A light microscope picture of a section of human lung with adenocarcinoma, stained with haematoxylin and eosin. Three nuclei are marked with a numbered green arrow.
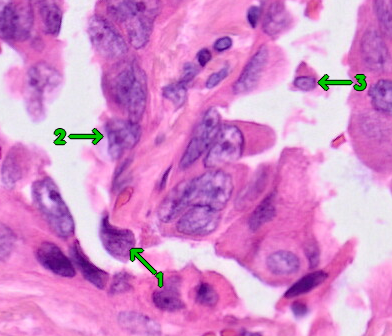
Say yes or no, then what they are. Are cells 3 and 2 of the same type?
No, cell 3 is a macrophage or monocyte; as for cell 2, that one is a carcinoma cell.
